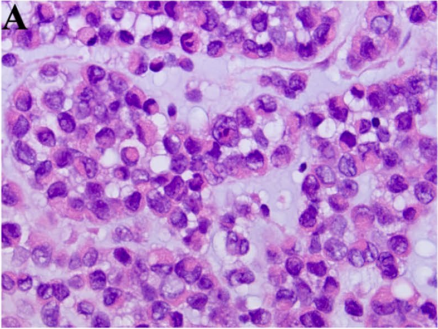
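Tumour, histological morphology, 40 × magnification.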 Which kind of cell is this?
Rhabdoid cells.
